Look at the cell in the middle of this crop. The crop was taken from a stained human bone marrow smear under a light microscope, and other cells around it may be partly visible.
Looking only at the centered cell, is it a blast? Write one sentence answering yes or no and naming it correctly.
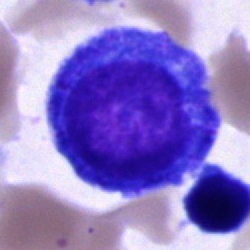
No, the central cell is reported as a promyelocyte rather than as a blast.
